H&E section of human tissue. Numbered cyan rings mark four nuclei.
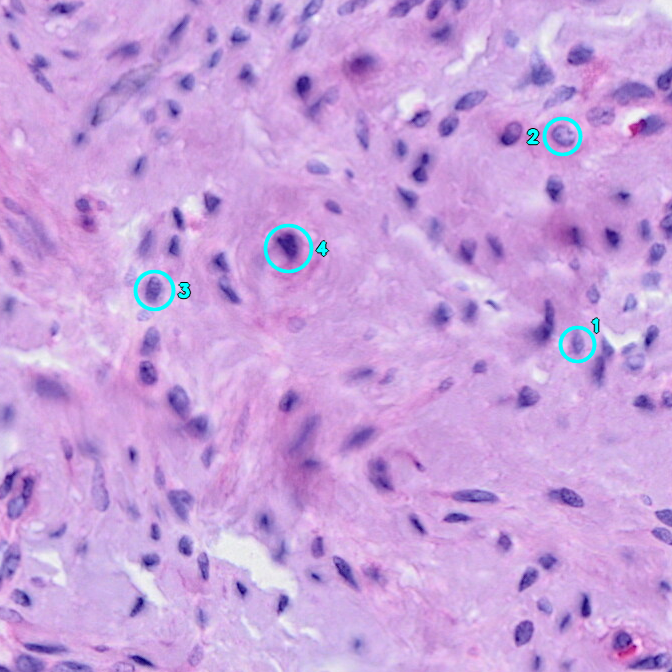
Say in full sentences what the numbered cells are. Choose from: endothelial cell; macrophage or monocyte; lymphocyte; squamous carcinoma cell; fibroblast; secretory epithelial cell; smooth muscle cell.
Cells 1 and 3 are fibroblasts. Cells 2 and 4 are endothelial cells.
